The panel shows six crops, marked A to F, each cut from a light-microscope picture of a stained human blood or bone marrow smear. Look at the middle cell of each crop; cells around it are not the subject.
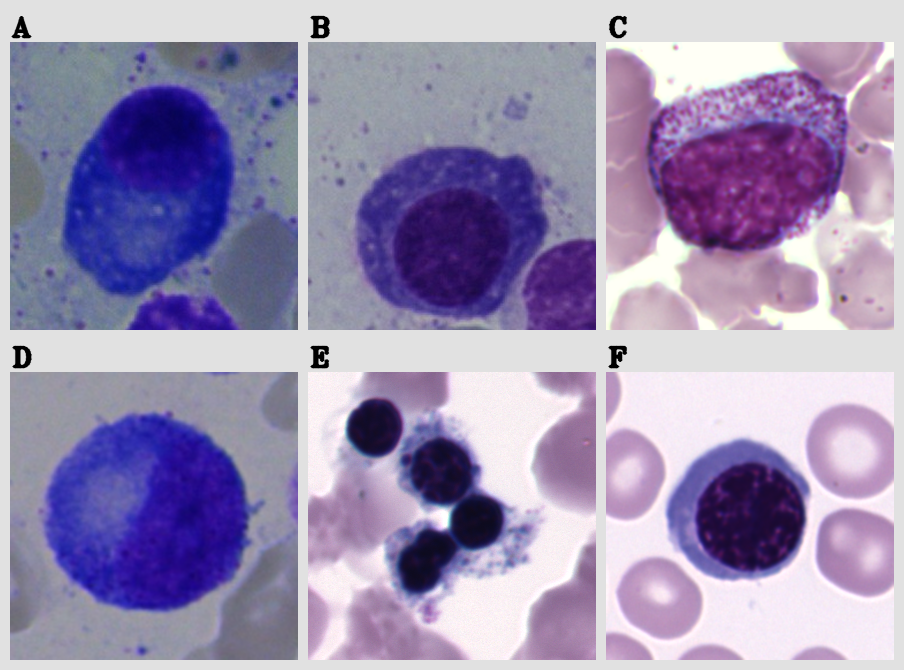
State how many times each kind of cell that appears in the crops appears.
plasma cell: 2
promyelocyte: 2
normoblast: 2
